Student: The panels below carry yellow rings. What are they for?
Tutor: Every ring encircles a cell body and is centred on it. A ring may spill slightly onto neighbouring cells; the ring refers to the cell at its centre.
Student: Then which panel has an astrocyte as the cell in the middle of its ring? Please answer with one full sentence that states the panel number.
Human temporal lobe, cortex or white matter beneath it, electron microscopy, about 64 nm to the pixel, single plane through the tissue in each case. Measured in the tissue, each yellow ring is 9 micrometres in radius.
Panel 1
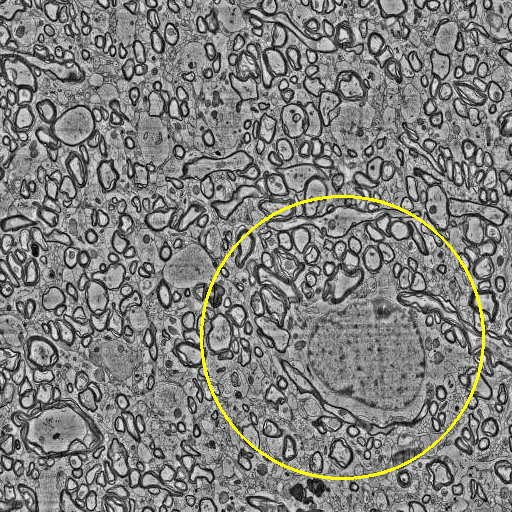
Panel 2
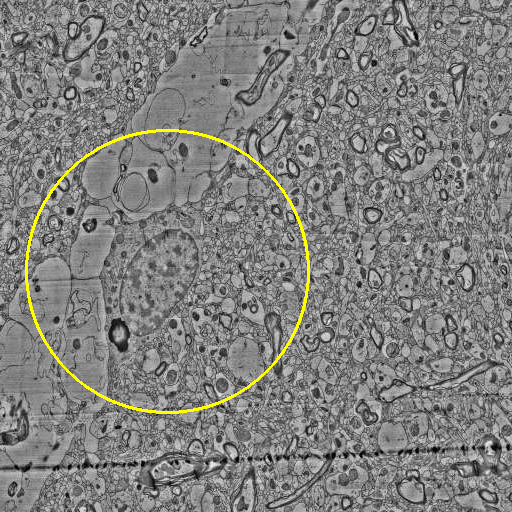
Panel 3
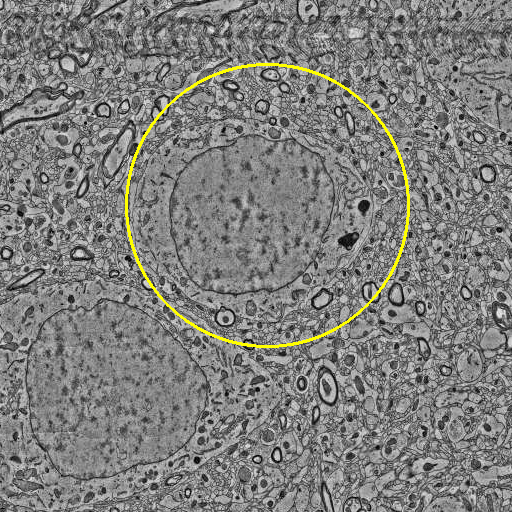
In Panel 1, the cell centred in the ring is the one sought.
